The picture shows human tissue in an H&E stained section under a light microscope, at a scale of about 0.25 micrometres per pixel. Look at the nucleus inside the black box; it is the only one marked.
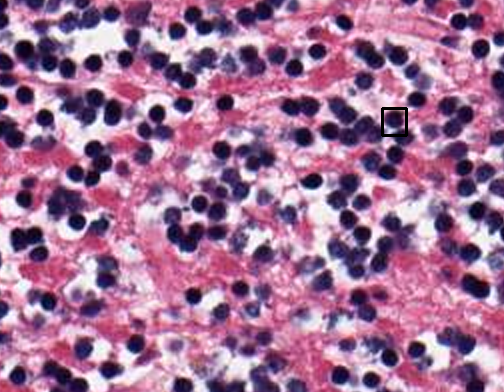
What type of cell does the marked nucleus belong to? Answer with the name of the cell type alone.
cerebellar granule cell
